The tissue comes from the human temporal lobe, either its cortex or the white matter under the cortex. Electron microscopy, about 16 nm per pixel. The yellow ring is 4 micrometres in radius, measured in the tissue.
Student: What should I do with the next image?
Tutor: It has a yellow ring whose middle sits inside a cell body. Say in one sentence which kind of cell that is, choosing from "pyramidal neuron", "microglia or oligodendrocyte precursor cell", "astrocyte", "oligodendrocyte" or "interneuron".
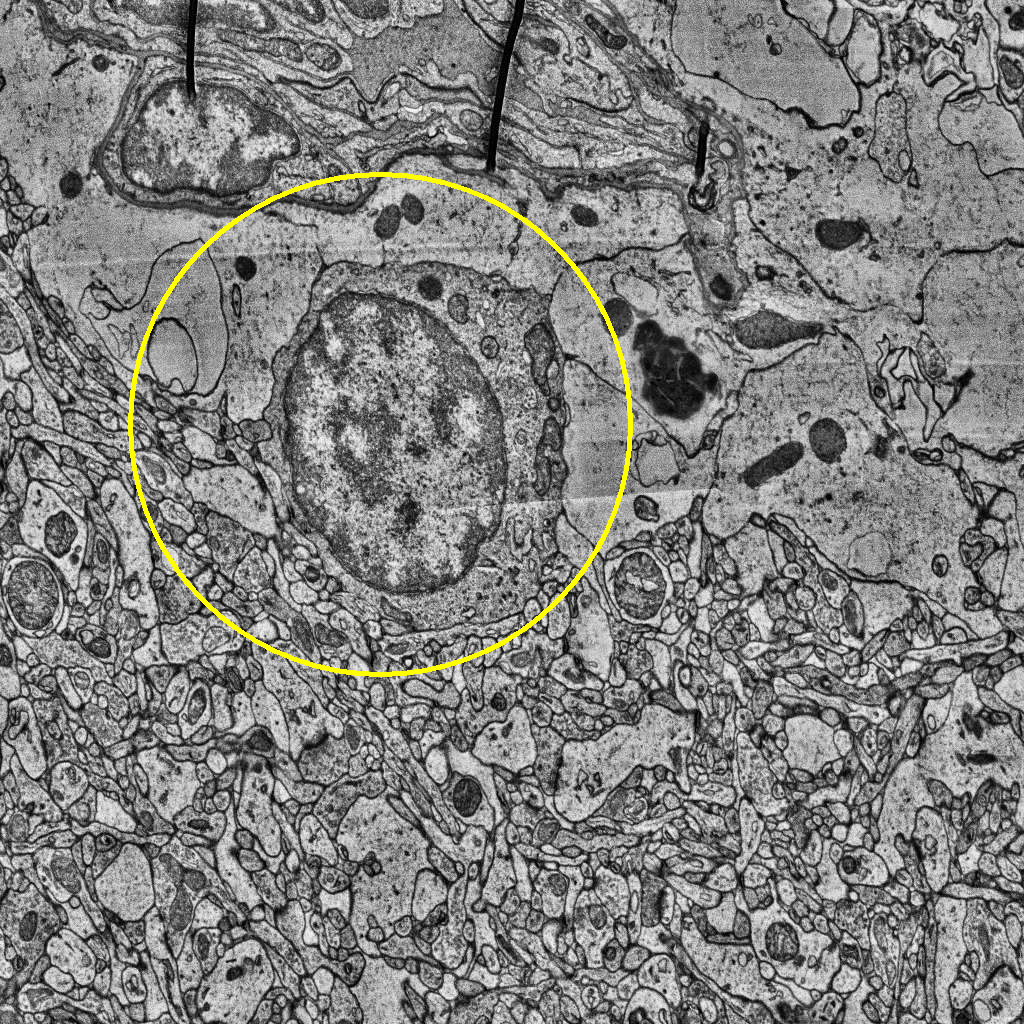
The ring's centre is occupied by an oligodendrocyte.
